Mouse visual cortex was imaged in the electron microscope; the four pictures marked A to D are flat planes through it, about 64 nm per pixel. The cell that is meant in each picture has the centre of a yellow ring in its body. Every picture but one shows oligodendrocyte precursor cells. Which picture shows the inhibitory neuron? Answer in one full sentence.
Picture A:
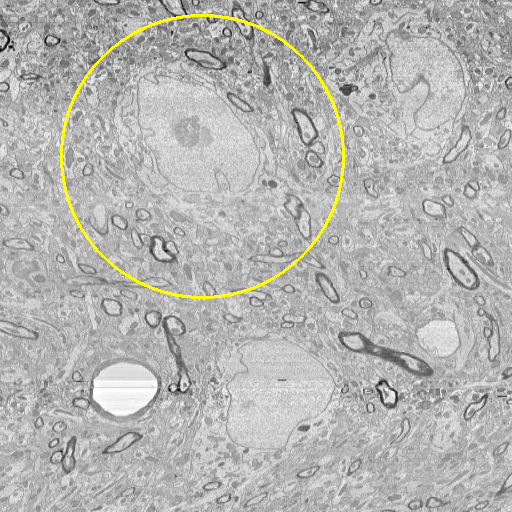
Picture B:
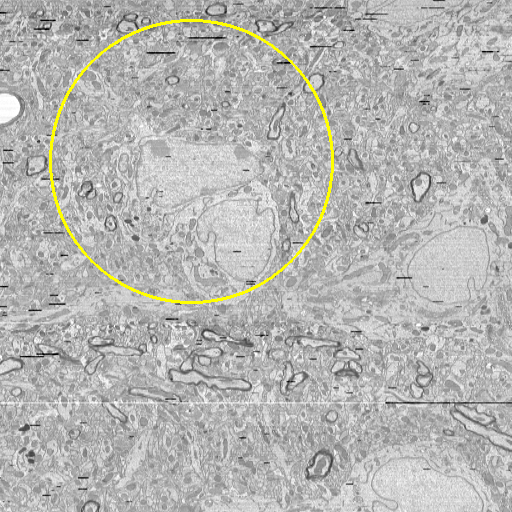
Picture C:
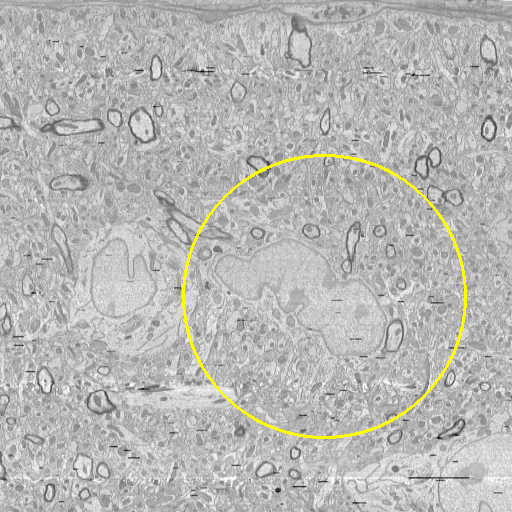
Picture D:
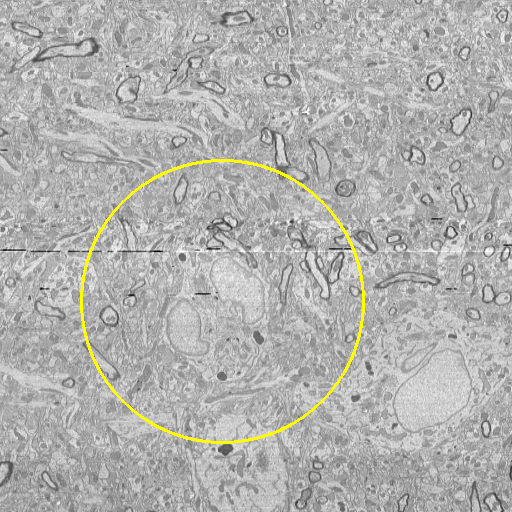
Picture A shows the inhibitory neuron.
